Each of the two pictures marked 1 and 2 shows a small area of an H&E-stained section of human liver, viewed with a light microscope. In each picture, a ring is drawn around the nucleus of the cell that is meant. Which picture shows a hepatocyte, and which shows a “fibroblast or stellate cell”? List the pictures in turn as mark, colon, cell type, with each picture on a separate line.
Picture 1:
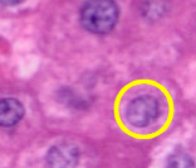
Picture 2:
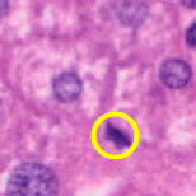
1: hepatocyte
2: fibroblast or stellate cell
